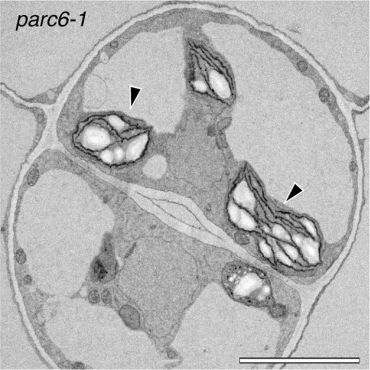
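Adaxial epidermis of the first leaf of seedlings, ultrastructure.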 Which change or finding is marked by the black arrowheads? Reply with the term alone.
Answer: enlarged chloroplasts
